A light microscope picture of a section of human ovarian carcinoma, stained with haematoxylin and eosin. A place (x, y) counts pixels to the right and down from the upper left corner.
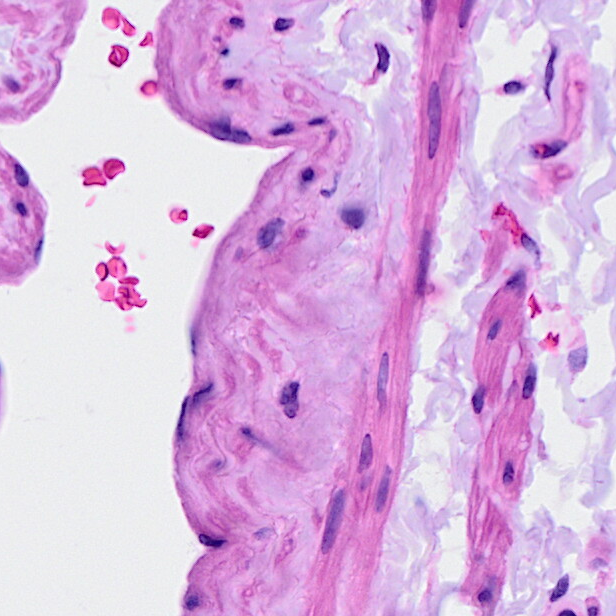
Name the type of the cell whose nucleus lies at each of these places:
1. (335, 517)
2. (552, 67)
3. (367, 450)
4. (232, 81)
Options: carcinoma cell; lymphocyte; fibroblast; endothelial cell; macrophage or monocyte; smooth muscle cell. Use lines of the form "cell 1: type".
cell 1: smooth muscle cell
cell 2: fibroblast
cell 3: smooth muscle cell
cell 4: smooth muscle cell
